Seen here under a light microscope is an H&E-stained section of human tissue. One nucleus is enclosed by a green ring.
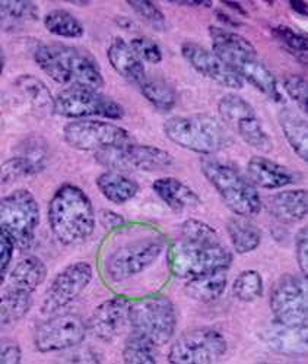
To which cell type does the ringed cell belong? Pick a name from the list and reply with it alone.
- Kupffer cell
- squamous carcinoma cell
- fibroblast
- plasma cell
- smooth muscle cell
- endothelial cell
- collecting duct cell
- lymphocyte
squamous carcinoma cell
